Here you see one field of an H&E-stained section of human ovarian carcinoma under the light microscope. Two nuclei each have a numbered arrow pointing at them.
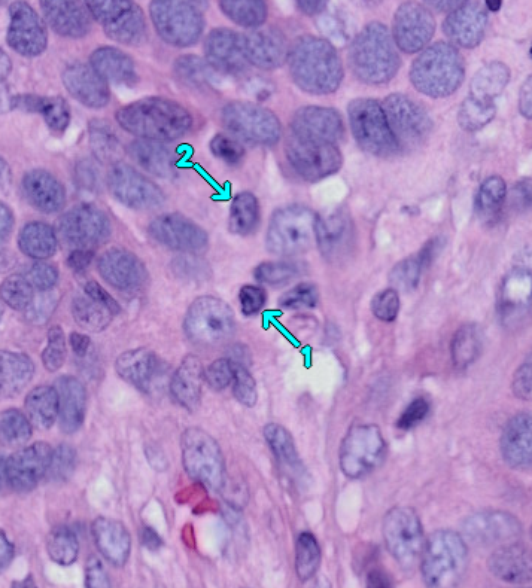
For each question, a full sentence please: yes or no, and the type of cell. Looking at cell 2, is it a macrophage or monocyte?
Yes, the cell whose number is 2 is a macrophage or monocyte.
